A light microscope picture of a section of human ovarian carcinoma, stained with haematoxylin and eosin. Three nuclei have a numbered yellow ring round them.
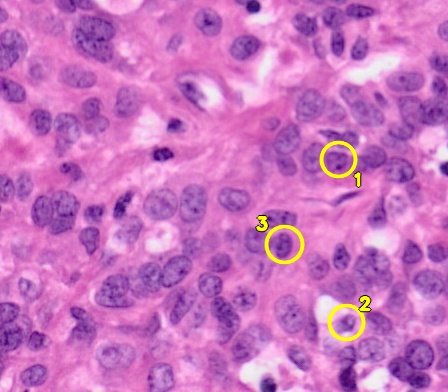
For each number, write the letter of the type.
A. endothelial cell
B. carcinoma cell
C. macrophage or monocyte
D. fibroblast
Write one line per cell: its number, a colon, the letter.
1: B
2: C
3: B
